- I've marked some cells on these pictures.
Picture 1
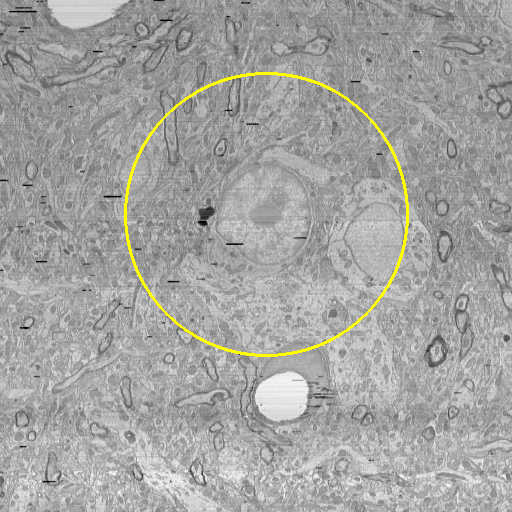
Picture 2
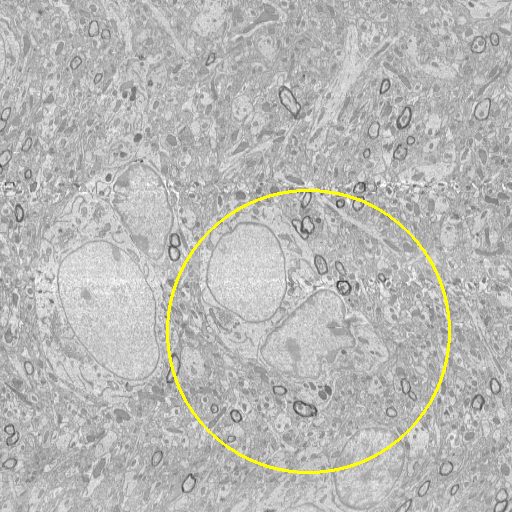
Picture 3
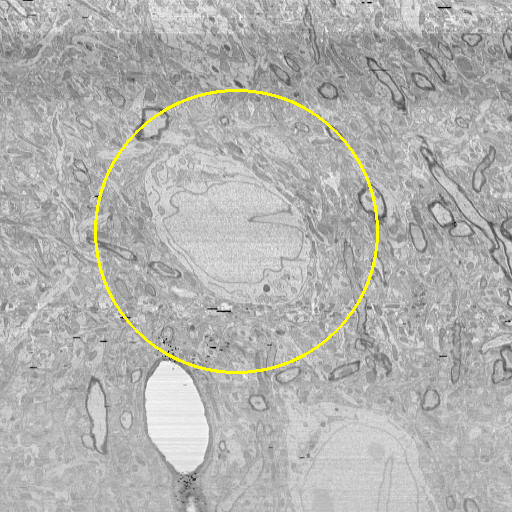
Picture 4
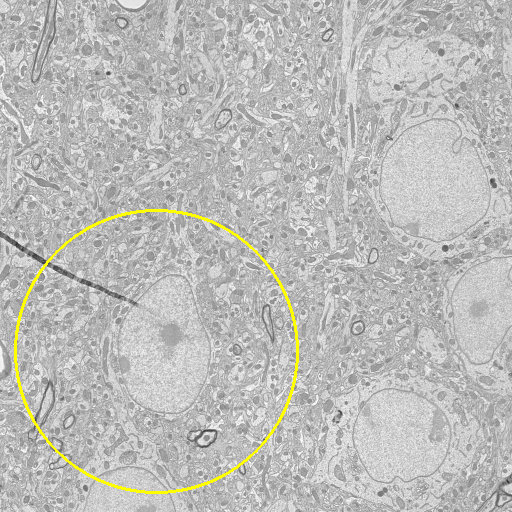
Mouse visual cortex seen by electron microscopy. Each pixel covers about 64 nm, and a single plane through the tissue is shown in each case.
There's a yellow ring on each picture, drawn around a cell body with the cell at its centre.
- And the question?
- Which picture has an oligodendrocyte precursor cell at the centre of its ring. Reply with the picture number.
2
